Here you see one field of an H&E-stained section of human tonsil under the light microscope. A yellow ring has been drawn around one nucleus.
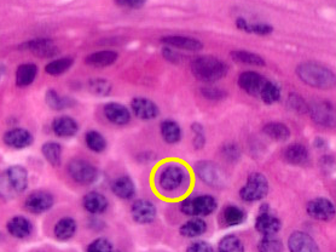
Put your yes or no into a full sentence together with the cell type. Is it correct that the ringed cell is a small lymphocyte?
No, write a plasma cell for the ringed cell rather than a small lymphocyte.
